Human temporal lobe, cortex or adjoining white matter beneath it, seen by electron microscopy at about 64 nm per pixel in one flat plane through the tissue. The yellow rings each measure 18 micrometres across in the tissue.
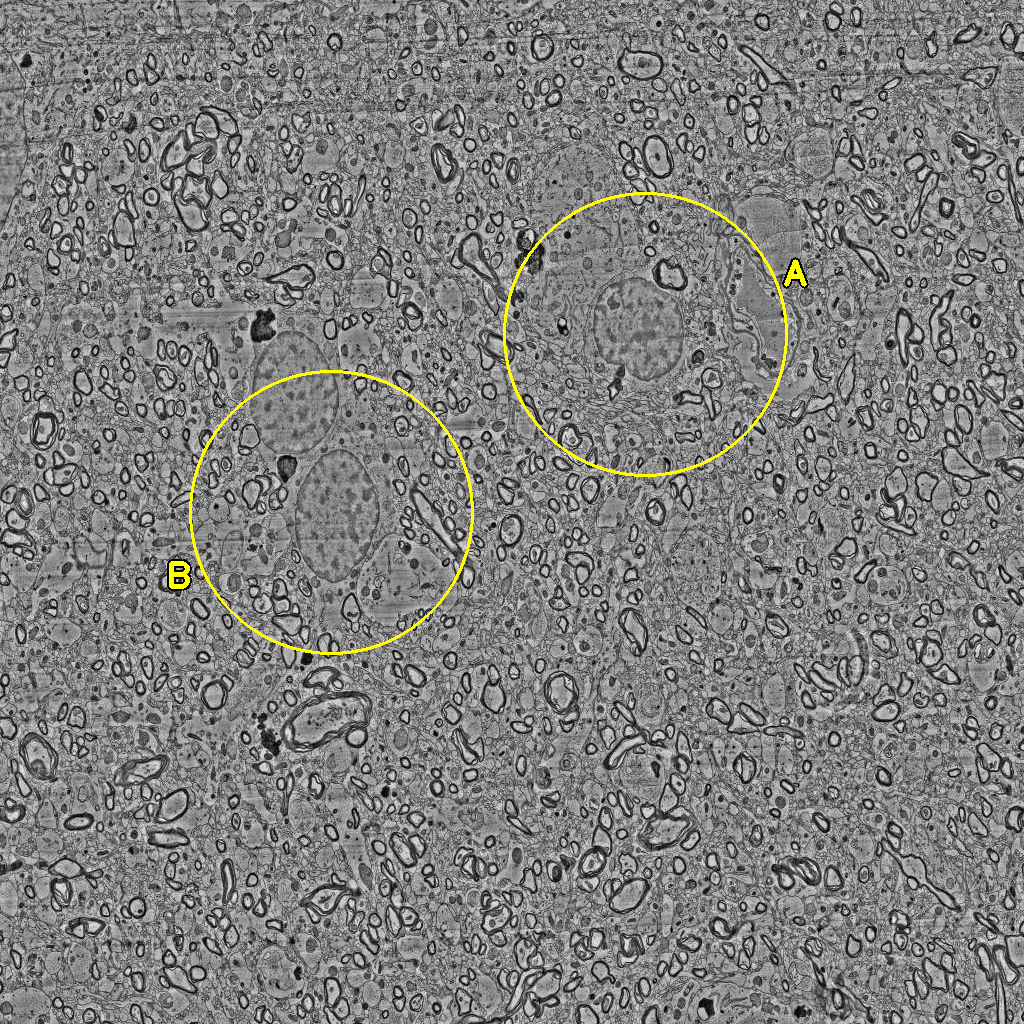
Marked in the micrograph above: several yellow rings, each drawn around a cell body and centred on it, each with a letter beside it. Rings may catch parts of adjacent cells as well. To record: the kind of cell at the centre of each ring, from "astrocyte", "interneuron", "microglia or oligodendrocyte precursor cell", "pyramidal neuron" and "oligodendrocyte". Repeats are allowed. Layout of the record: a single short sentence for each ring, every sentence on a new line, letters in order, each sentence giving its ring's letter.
At the centre of ring A lies an oligodendrocyte.
At the centre of ring B lies an oligodendrocyte.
